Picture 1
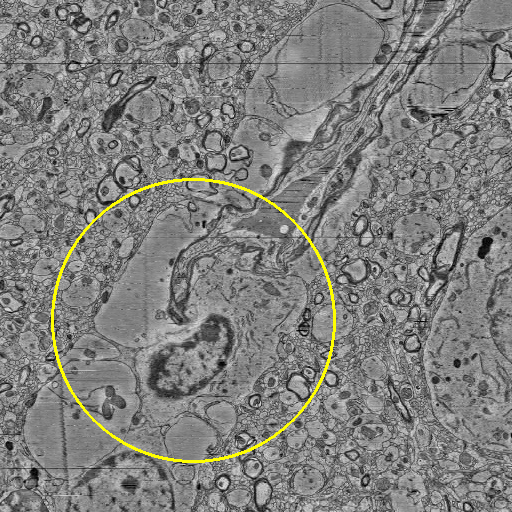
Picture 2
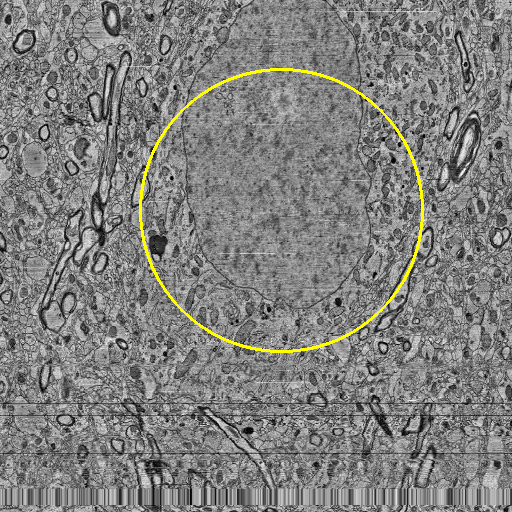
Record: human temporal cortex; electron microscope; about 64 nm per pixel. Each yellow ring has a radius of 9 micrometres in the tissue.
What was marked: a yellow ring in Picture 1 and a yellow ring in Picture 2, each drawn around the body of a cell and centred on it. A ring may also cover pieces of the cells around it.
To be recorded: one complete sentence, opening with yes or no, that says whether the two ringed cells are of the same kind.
No, the two ringed cells are of two kinds.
